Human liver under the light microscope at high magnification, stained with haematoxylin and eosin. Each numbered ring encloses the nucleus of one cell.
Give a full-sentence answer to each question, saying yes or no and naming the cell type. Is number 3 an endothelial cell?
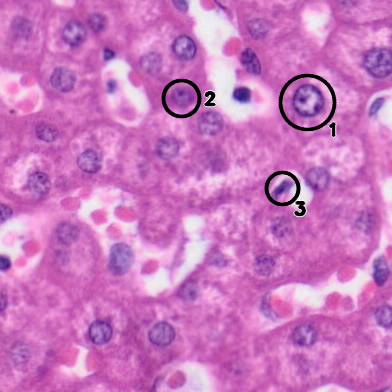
Yes, the cell that is numbered 3 is an endothelial cell.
